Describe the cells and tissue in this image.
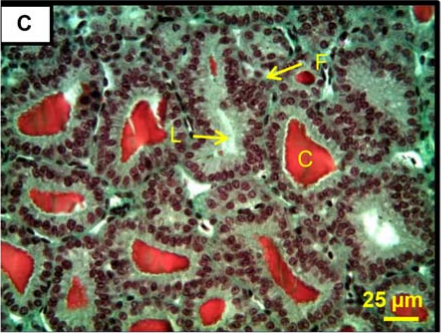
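This is thyroid gland tissue in which the follicles are lined by markedly enlarged follicular cells. The epithelium is tall and crowded, with dark round nuclei lying toward the outer edge and broad pale grey-green cytoplasm extending toward the centre. Follicles are packed tightly, with thin greenish connective tissue strands between them. Overall the cellular epithelium occupies much more of the tissue than the colloid does.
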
